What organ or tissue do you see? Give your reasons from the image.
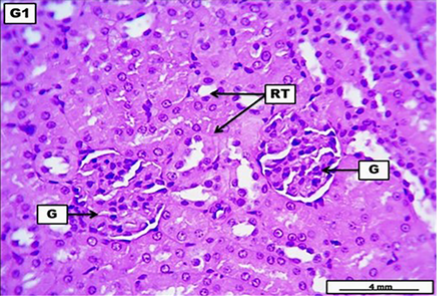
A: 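Kidney. Rounded tufts of capillaries sit in clear spaces among tubules. The field is packed with tubule cross-sections lined by cuboidal cells with round nuclei.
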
